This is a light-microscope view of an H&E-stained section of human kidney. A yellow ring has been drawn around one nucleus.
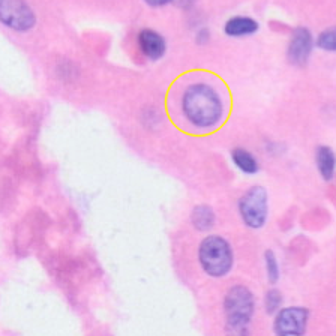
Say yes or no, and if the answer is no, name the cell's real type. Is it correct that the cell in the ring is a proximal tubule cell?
Yes.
